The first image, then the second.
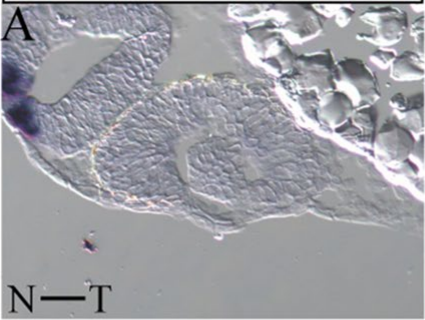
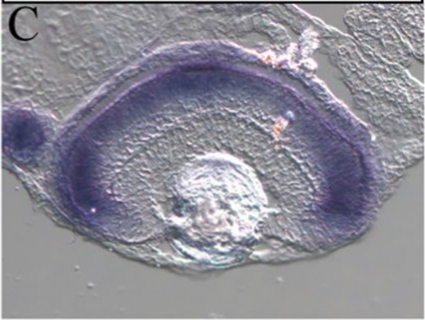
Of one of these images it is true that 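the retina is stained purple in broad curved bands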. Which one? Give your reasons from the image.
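Second image: a strong purple band follows the curve of the retina around the lens. First image: the retina is pale grey with no purple staining.
Conclusion: the second image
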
